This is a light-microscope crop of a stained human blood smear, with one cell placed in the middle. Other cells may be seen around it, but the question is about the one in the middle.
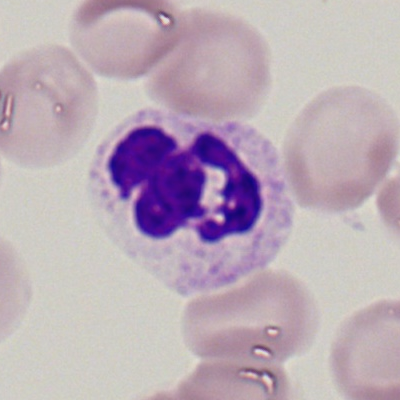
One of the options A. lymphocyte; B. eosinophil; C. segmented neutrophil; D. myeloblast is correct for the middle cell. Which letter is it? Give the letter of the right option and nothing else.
C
